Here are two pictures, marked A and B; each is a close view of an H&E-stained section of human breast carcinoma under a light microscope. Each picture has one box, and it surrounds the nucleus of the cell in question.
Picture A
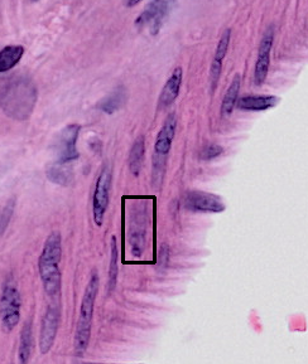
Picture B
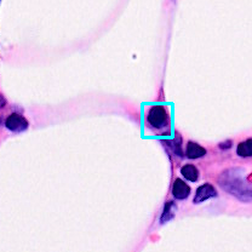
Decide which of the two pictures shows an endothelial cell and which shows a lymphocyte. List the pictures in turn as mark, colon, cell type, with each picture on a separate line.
A: endothelial cell
B: lymphocyte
